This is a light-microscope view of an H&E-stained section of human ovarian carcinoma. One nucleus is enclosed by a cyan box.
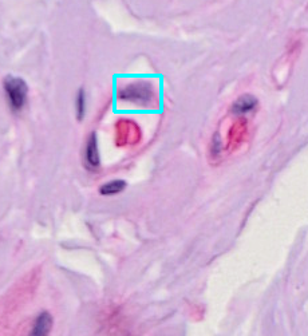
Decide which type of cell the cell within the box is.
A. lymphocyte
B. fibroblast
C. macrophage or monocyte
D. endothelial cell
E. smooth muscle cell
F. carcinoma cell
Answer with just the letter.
D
